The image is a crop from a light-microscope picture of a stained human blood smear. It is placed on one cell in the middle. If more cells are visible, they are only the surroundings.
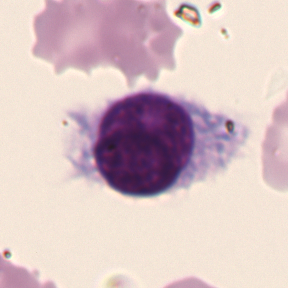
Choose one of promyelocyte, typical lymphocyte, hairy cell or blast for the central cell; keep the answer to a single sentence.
The centered cell in this crop is a hairy cell.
